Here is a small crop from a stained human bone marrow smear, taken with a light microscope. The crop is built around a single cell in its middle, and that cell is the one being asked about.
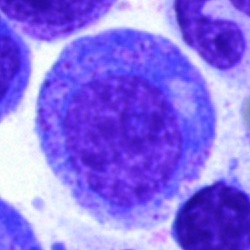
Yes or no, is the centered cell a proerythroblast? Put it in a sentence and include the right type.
No, it is a promyelocyte, not a proerythroblast, that lies at the centre of the crop.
